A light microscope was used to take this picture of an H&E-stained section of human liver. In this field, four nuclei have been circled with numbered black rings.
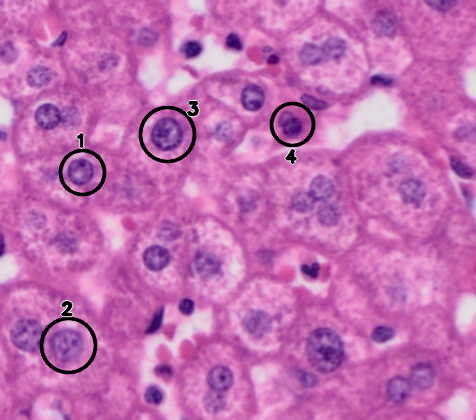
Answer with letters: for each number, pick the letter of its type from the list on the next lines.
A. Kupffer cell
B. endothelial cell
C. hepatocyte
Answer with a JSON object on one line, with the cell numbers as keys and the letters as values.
{"1": "C", "2": "C", "3": "C", "4": "A"}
